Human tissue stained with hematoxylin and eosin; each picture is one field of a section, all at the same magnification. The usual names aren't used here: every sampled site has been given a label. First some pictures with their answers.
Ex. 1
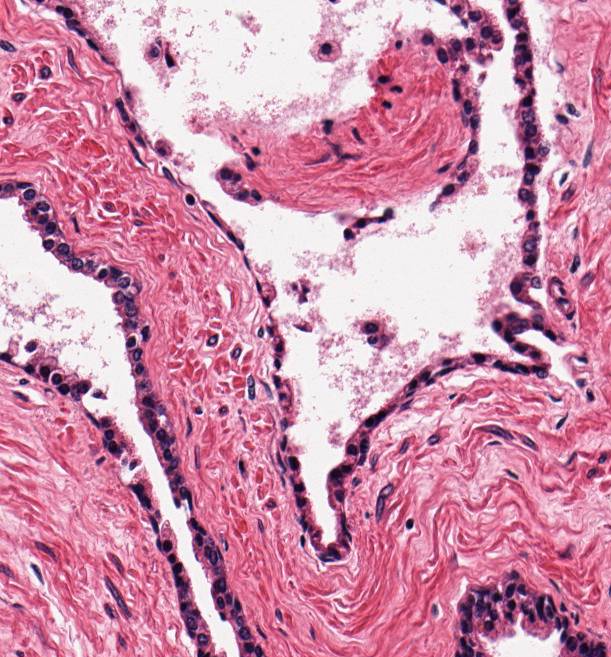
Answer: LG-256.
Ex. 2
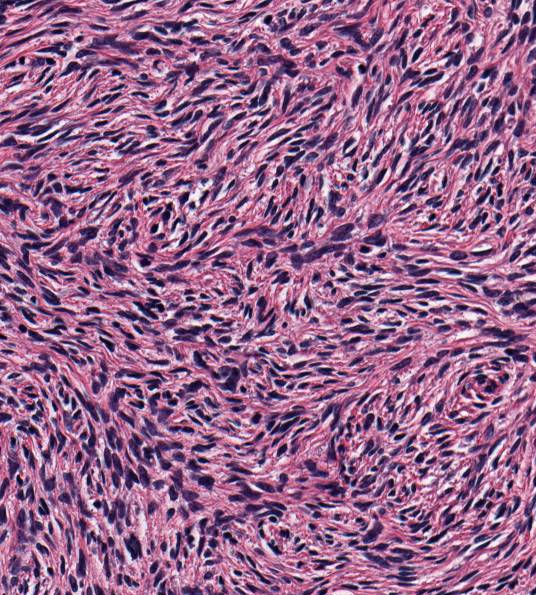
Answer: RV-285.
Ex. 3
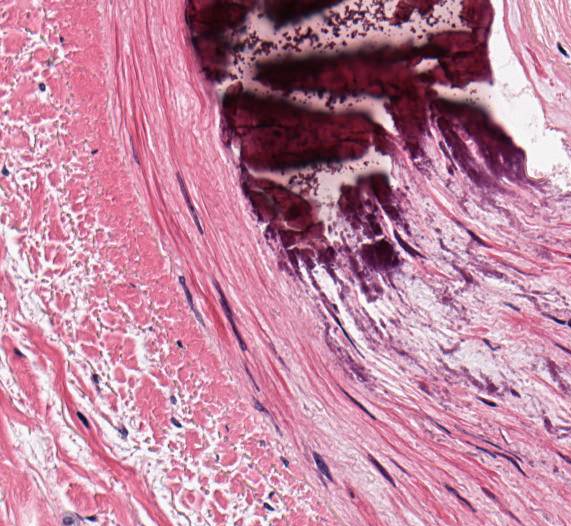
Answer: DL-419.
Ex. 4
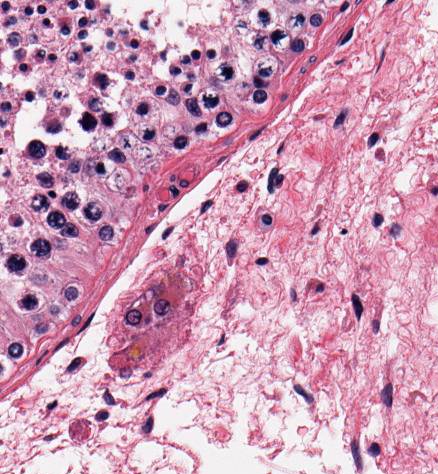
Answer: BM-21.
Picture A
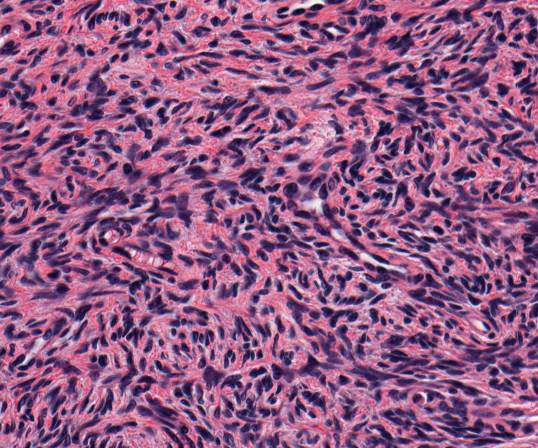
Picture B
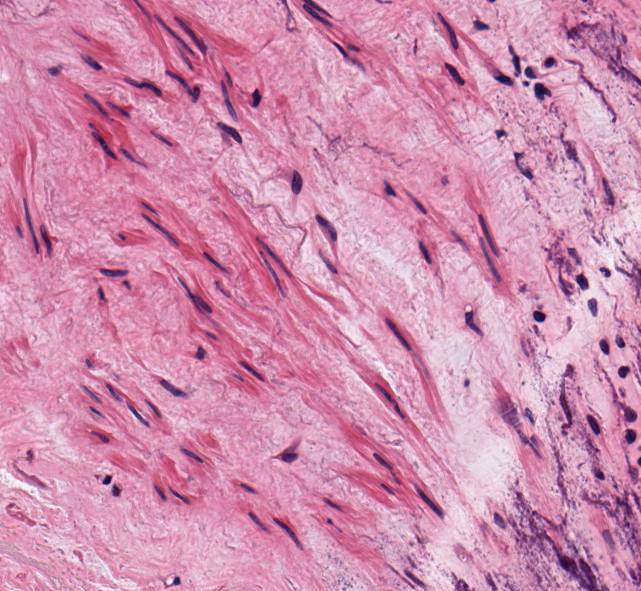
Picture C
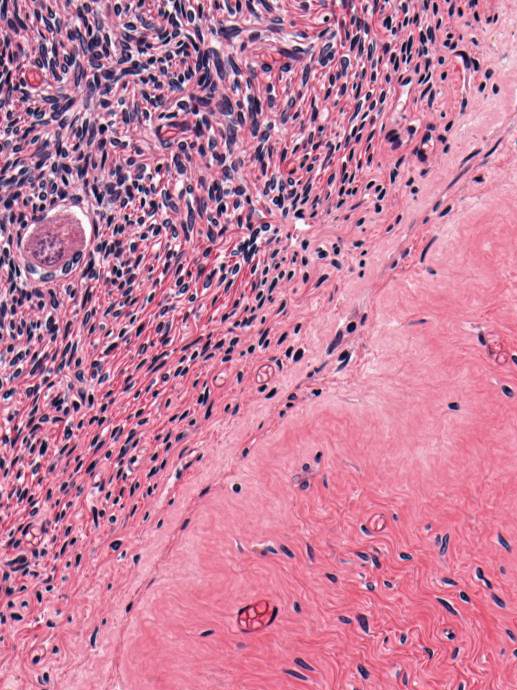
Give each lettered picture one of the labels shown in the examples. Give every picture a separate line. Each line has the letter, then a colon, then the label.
A: RV-285.
B: DL-419.
C: RV-285.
